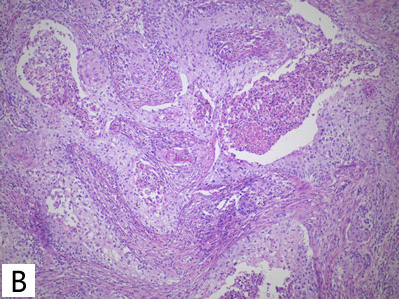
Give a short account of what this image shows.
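The tumour cells have ample eosinophilic pink cytoplasm and oval nuclei, with cohesive squamoid arrangement and some denser pink centres within nests. The stroma between nests is cellular, with spindle cells and scattered small dark inflammatory cells. No glandular lumens are evident.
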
